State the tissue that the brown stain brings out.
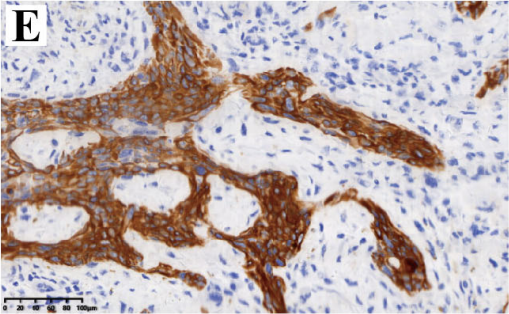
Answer: epithelial component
